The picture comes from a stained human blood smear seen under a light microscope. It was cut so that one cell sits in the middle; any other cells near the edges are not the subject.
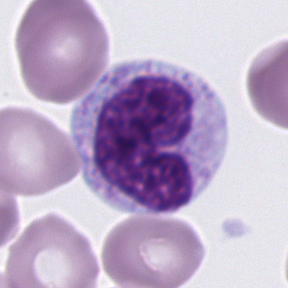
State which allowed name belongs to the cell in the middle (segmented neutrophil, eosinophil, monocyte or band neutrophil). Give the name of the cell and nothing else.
band neutrophil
